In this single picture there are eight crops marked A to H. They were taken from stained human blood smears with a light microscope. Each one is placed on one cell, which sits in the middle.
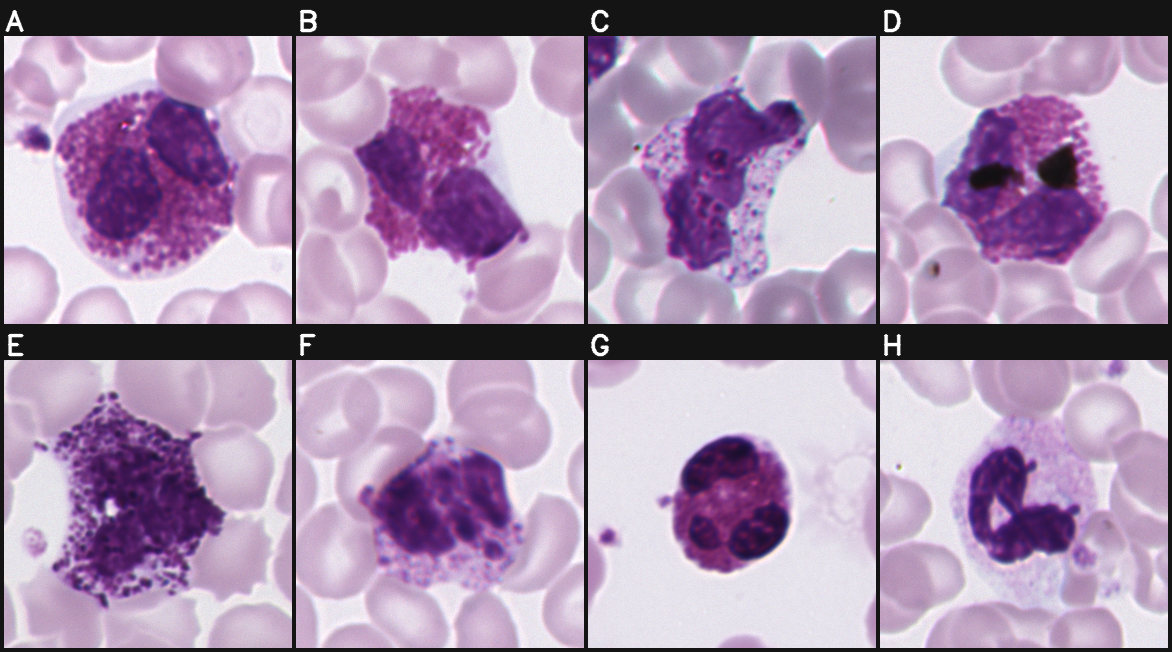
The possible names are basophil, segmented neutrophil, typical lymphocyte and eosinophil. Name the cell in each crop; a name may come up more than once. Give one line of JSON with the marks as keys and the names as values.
{"A": "eosinophil", "B": "eosinophil", "C": "basophil", "D": "eosinophil", "E": "basophil", "F": "basophil", "G": "eosinophil", "H": "segmented neutrophil"}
